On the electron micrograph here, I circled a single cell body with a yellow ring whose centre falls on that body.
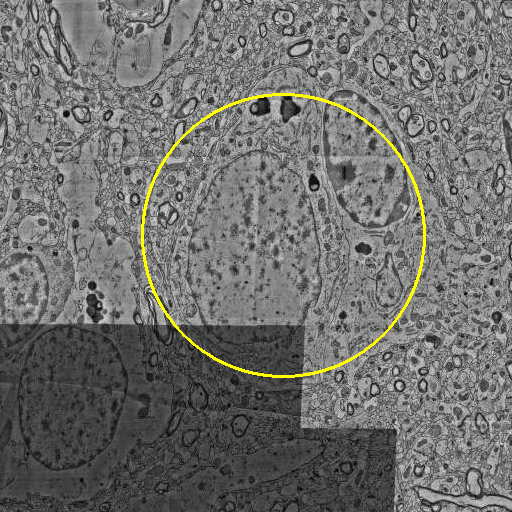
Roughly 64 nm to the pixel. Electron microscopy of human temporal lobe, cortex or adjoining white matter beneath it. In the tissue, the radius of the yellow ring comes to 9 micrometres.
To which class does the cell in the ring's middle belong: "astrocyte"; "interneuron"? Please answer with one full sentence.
In this picture, the cell body circled at the ring's centre belongs to an interneuron.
